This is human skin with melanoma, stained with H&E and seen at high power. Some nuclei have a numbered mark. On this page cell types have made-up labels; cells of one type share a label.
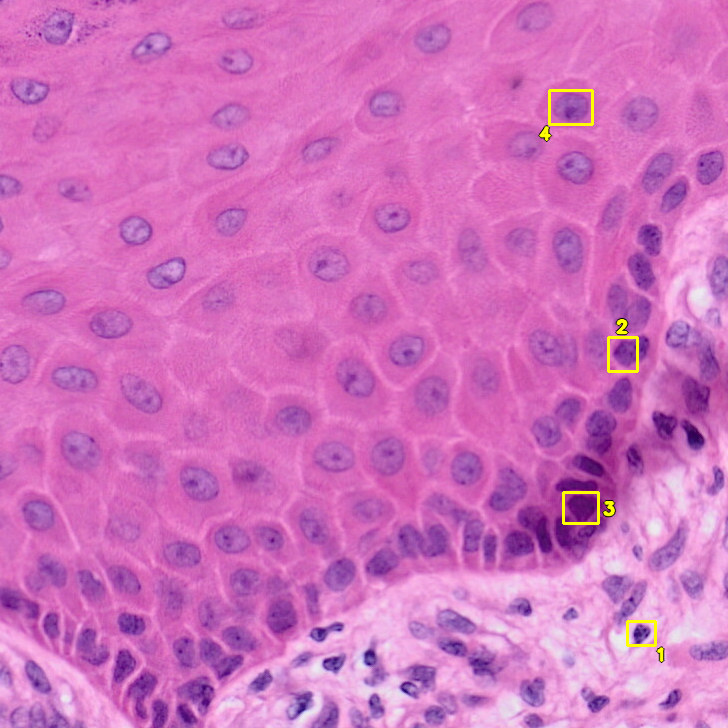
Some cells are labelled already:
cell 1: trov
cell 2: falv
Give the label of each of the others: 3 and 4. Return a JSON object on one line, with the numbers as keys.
{"3": "falv", "4": "falv"}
